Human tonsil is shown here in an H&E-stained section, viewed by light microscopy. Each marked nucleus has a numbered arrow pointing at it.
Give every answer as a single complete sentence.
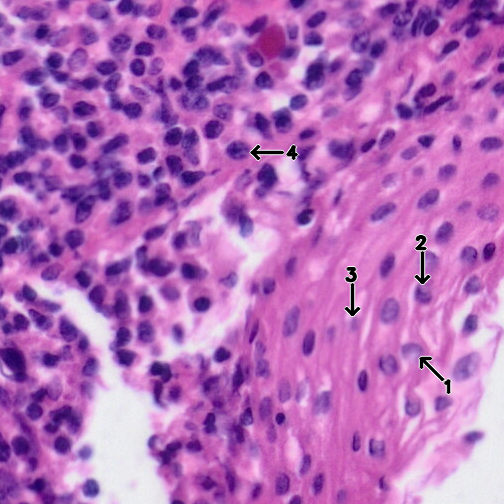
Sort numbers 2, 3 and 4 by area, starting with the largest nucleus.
Going from the biggest nucleus down to the smallest gives 4, 2, 3.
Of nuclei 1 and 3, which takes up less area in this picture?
Nucleus 3 covers less area, with nucleus 1 about 1.5 times as large.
